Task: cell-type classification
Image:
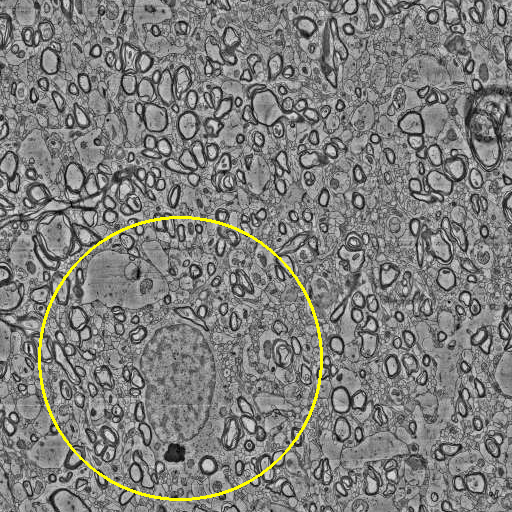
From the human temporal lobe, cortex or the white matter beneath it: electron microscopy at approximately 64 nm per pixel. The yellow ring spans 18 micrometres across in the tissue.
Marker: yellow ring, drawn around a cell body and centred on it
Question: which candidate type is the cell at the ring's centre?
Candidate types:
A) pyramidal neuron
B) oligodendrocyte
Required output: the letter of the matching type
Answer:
B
